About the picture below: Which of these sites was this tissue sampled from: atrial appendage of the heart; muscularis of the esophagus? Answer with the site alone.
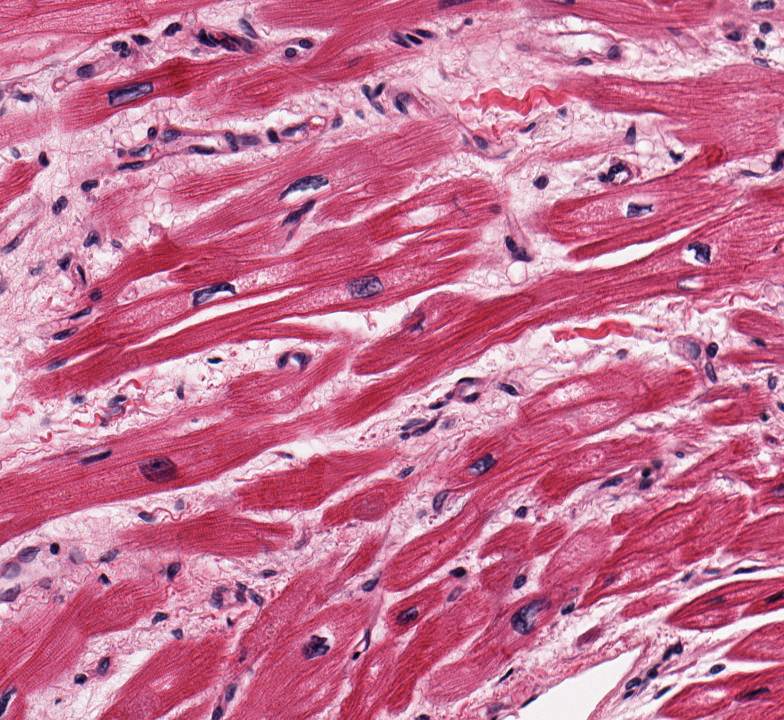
atrial appendage of the heart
